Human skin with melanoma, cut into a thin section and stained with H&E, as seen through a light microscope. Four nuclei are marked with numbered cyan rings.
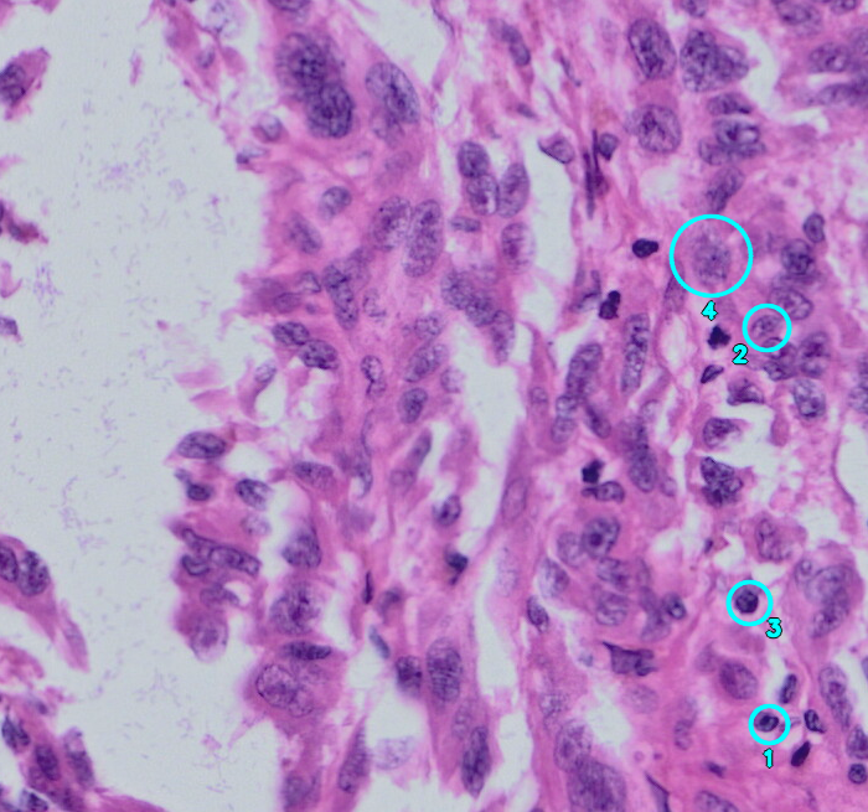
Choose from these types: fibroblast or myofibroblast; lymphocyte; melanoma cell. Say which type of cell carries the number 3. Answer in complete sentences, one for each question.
Here the cell numbered 3 is a lymphocyte.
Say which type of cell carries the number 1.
Here the cell numbered 1 is a lymphocyte.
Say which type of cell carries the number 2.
The label 2 in this section denotes a melanoma cell.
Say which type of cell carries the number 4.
Marked with the number 4, this cell is a melanoma cell.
